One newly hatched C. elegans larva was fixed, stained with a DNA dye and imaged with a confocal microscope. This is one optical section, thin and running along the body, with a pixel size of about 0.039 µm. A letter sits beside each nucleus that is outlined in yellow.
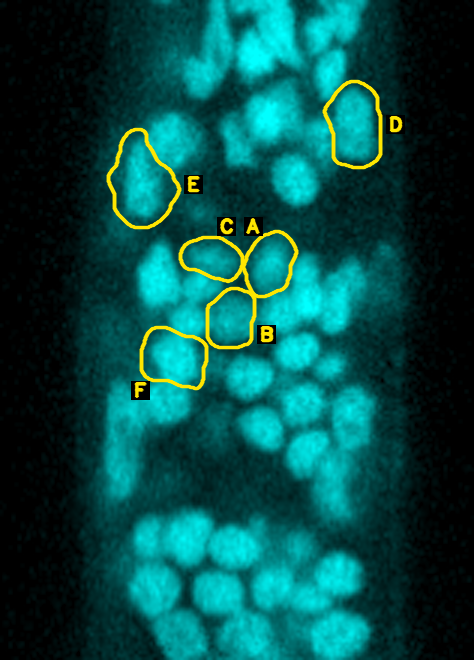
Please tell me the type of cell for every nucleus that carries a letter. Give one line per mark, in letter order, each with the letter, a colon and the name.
A: neuron
B: neuron
C: glial cell (sheath or socket)
D: body wall muscle cell
E: body wall muscle cell
F: neuron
